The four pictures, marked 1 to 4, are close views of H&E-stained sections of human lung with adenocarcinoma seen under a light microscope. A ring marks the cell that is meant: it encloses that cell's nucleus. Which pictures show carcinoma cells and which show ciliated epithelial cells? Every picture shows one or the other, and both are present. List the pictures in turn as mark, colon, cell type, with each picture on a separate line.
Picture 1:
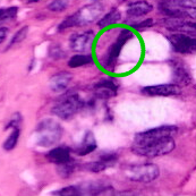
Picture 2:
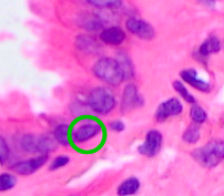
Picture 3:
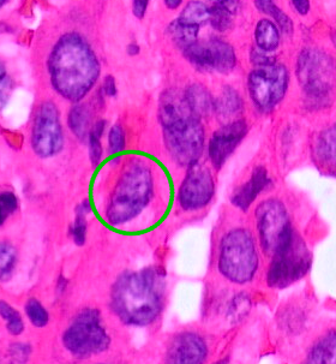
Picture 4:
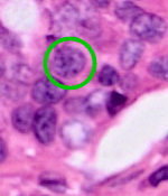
1: ciliated epithelial cell
2: ciliated epithelial cell
3: carcinoma cell
4: ciliated epithelial cell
